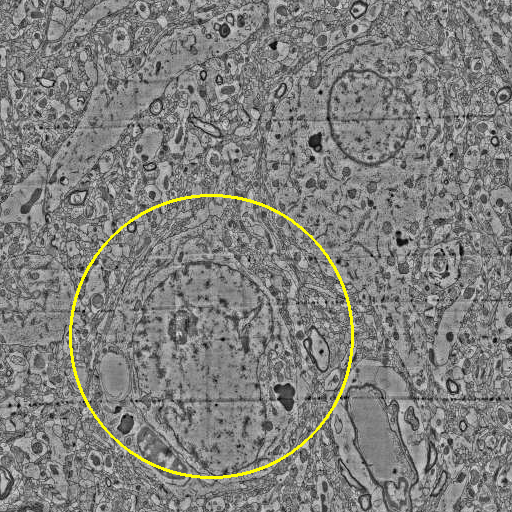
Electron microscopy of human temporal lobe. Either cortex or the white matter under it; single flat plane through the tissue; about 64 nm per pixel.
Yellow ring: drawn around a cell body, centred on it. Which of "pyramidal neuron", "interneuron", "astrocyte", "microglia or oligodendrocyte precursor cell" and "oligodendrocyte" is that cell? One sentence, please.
That cell body is from an interneuron.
